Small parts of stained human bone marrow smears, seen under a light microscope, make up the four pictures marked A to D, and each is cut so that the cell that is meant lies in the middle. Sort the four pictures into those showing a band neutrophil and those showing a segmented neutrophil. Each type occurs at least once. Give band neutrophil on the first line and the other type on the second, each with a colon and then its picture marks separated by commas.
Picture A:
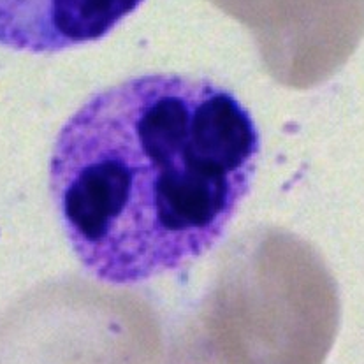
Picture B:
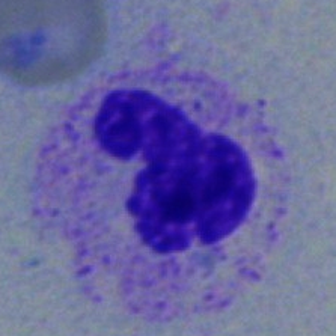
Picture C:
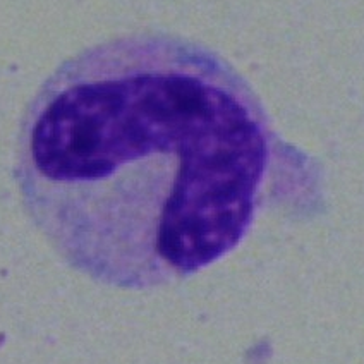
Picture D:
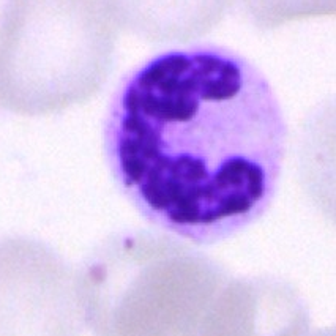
band neutrophil: C
segmented neutrophil: A, B, D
